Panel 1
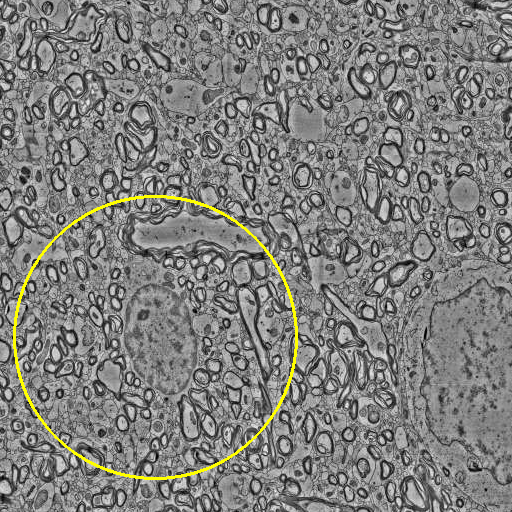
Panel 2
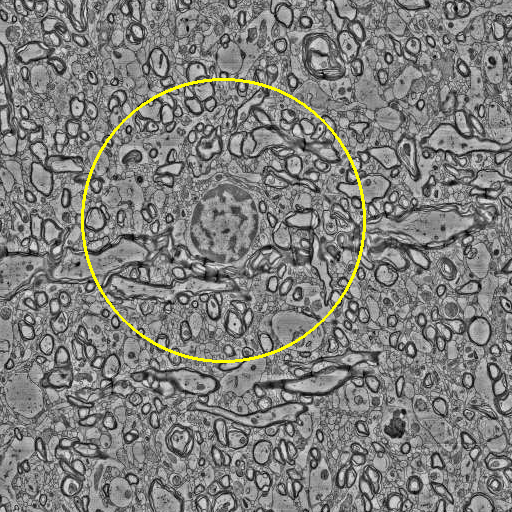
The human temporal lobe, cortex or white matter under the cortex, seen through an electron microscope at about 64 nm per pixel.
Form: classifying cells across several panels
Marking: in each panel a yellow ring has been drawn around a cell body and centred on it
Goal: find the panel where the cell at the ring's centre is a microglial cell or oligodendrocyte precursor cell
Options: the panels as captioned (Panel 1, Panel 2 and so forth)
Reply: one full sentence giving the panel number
Panel 2 shows the wanted cell at the centre of its ring.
